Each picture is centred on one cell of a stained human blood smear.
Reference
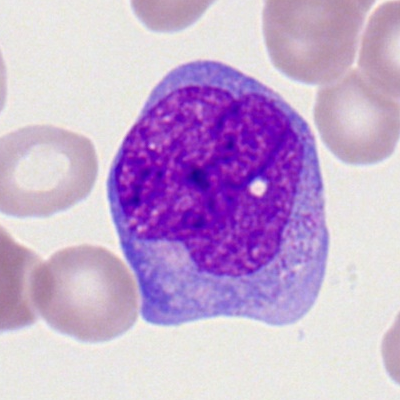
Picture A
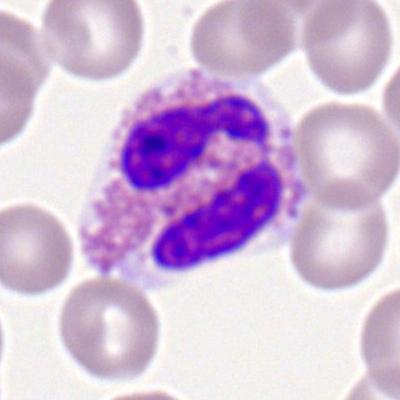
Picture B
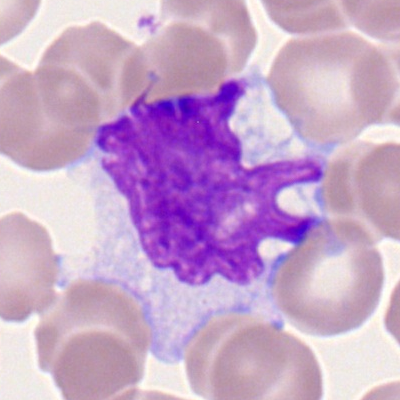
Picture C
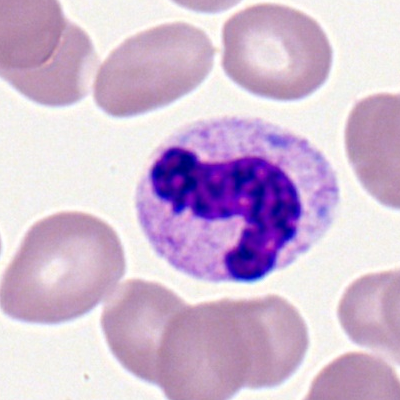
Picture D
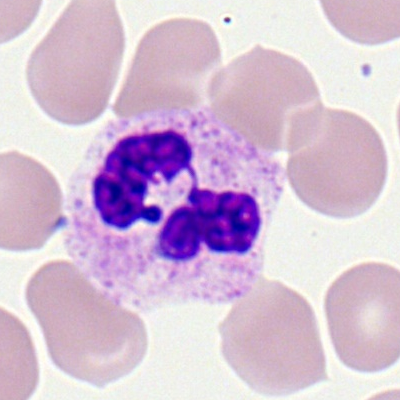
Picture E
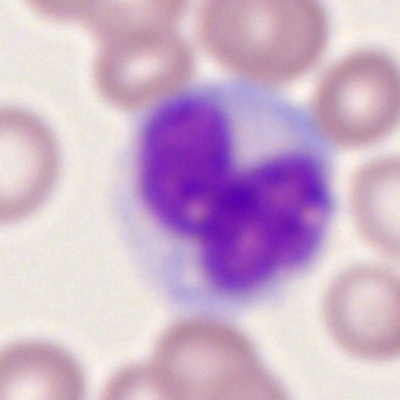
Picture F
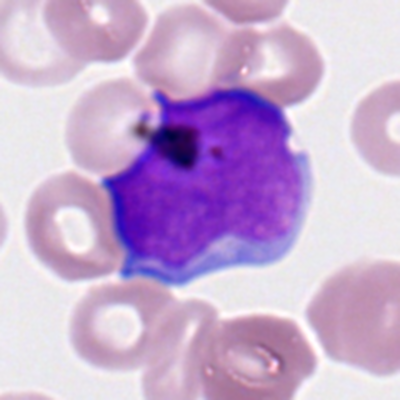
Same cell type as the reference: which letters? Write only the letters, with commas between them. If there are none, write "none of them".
B, E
